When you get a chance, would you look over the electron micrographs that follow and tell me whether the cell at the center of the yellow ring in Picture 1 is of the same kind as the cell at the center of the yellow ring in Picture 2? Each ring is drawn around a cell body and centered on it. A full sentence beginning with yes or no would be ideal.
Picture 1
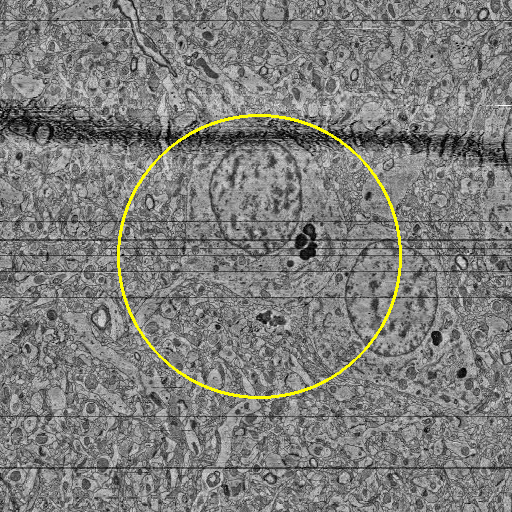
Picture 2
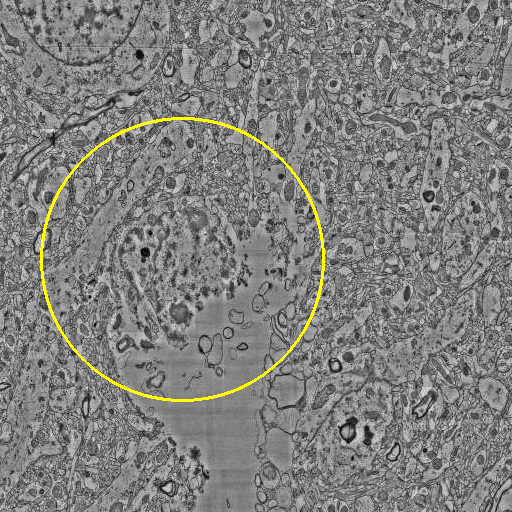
No, they are two kinds of cell.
